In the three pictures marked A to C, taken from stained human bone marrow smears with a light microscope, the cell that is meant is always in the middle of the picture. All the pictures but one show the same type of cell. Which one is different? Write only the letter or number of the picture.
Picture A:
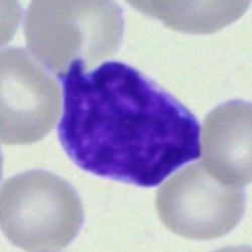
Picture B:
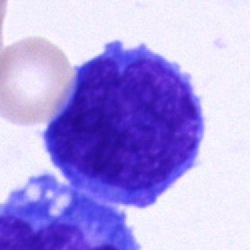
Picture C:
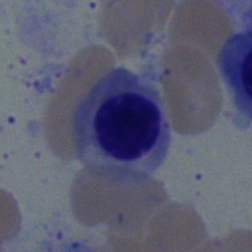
C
